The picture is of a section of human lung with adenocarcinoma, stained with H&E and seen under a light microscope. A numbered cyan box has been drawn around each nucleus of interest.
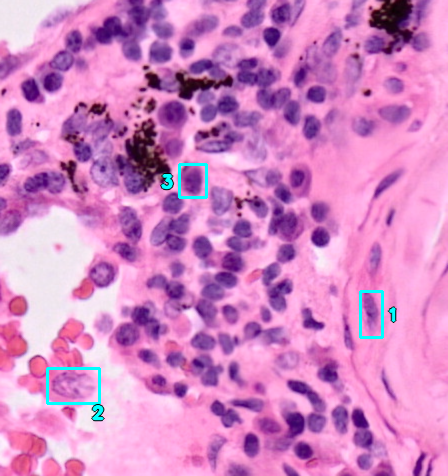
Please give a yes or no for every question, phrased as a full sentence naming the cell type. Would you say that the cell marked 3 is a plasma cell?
Yes, the cell identified as number 3 is a plasma cell.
